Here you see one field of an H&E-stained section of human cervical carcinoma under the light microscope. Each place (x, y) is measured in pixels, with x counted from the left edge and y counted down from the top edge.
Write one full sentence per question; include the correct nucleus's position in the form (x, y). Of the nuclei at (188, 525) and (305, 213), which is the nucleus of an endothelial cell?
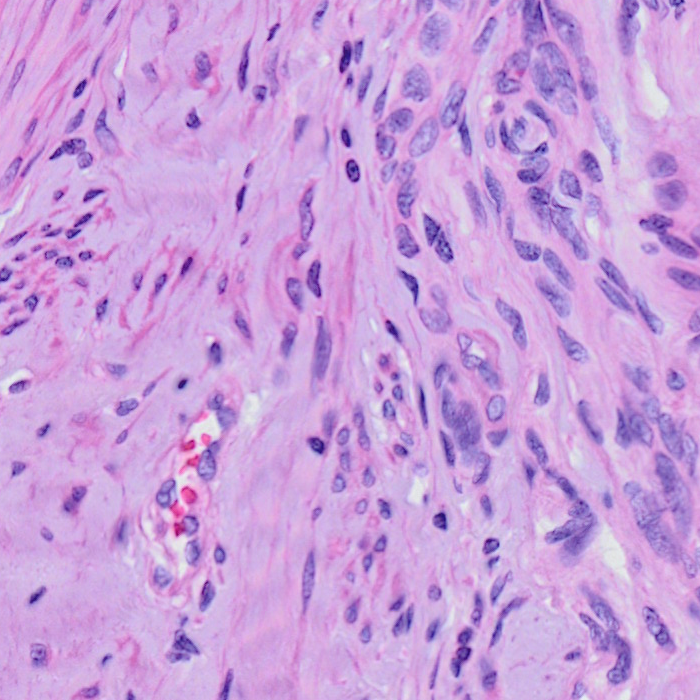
Of the two, the nucleus at (188, 525) is the one contained in an endothelial cell.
